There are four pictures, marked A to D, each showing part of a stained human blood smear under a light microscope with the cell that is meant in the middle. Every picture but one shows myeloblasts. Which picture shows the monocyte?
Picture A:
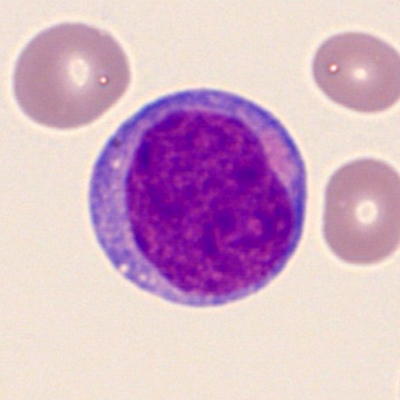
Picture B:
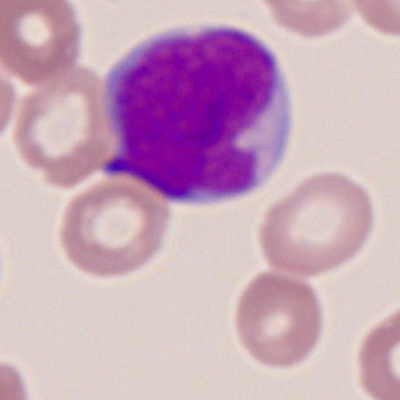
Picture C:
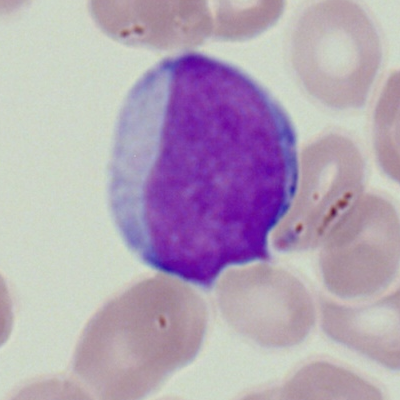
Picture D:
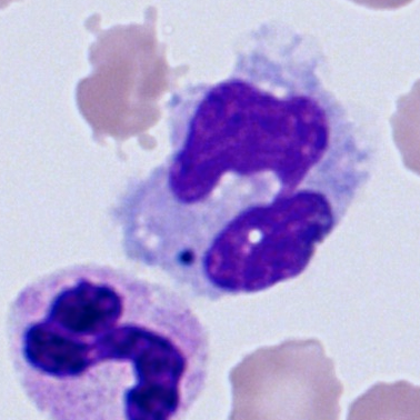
D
